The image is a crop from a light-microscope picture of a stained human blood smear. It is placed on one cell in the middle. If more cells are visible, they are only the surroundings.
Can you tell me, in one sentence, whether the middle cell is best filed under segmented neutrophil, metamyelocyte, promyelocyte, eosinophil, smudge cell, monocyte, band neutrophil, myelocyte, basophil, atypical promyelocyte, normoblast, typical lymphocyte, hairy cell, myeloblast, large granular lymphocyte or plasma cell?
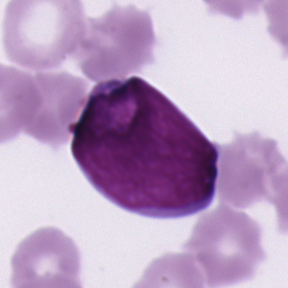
The center cell of this crop is a myeloblast.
